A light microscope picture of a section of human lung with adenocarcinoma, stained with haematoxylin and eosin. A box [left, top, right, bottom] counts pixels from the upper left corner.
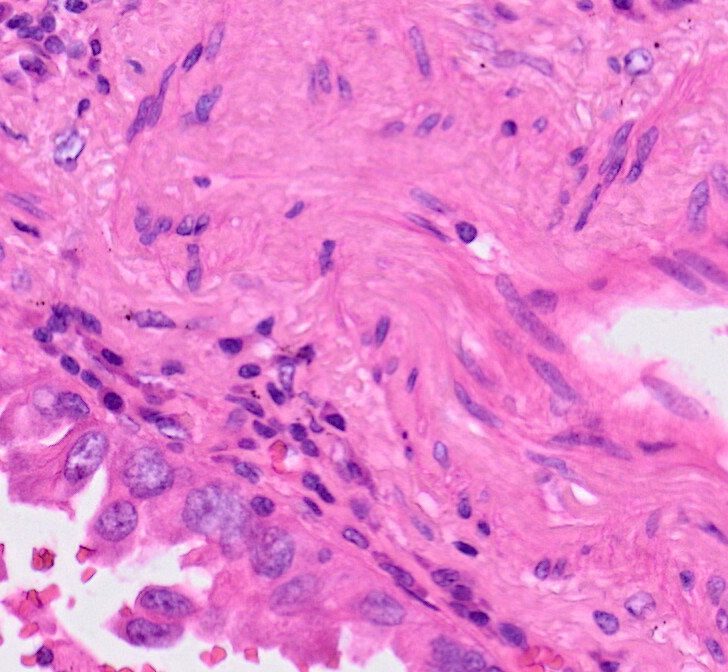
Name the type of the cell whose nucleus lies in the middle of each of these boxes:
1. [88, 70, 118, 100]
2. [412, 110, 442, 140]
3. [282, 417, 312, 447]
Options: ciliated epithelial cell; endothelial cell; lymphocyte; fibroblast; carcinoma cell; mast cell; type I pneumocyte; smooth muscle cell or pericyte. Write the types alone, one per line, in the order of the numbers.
mast cell
smooth muscle cell or pericyte
lymphocyte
